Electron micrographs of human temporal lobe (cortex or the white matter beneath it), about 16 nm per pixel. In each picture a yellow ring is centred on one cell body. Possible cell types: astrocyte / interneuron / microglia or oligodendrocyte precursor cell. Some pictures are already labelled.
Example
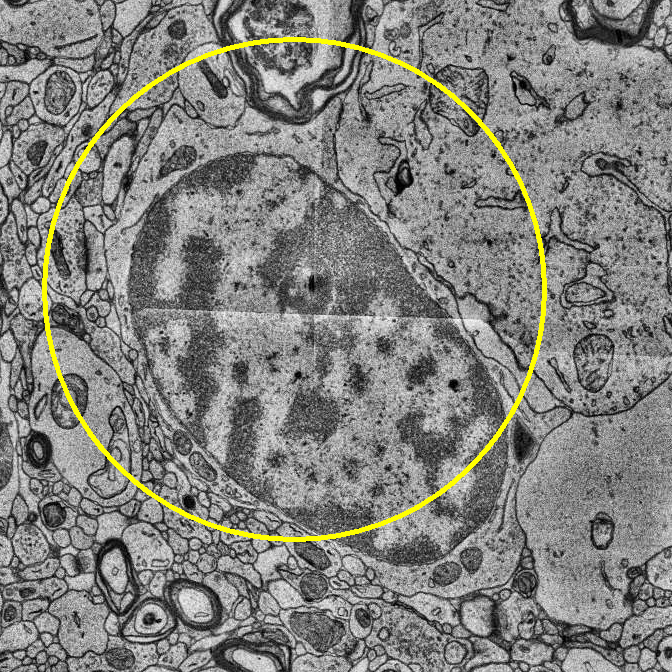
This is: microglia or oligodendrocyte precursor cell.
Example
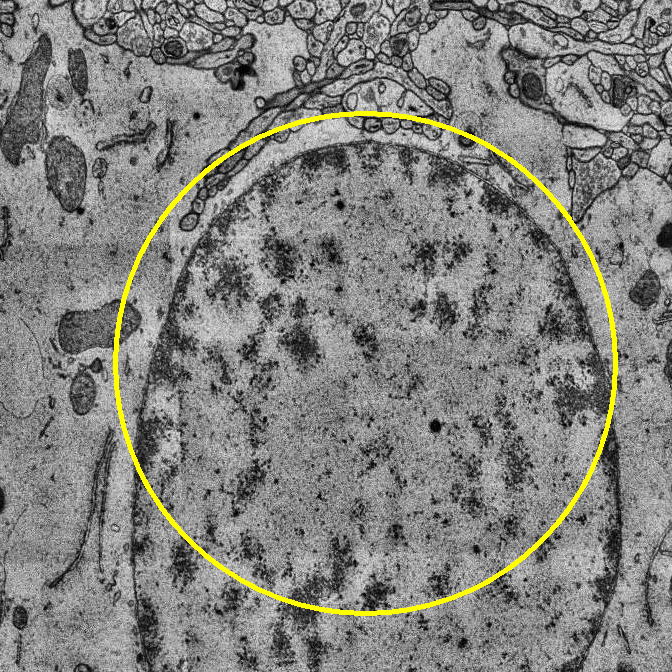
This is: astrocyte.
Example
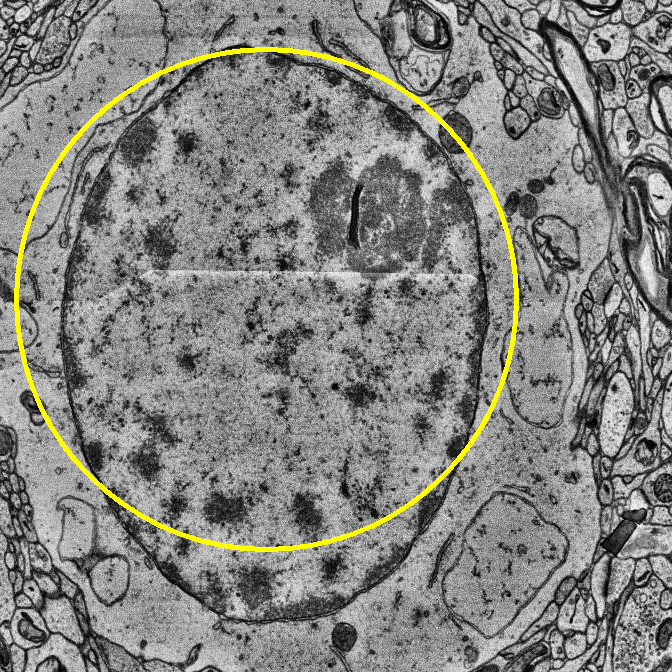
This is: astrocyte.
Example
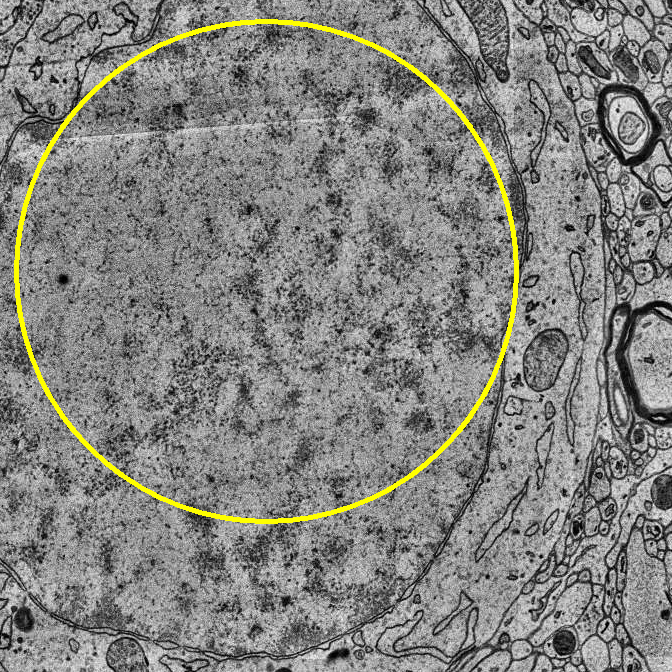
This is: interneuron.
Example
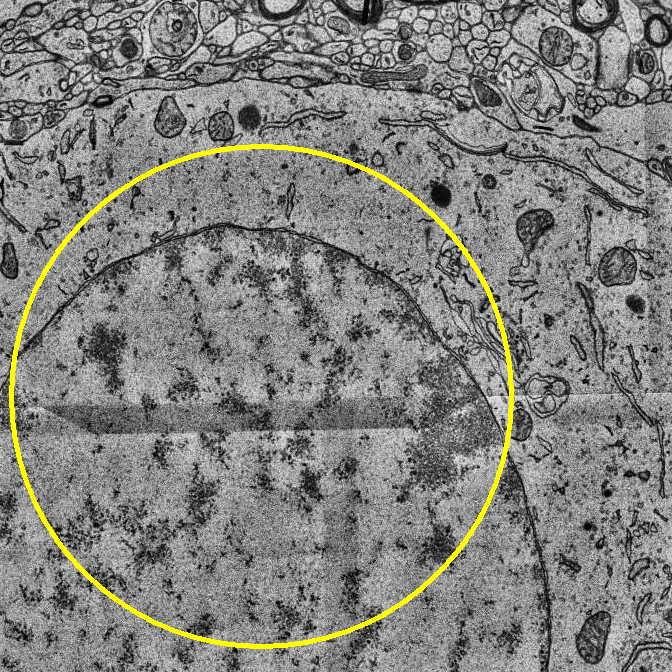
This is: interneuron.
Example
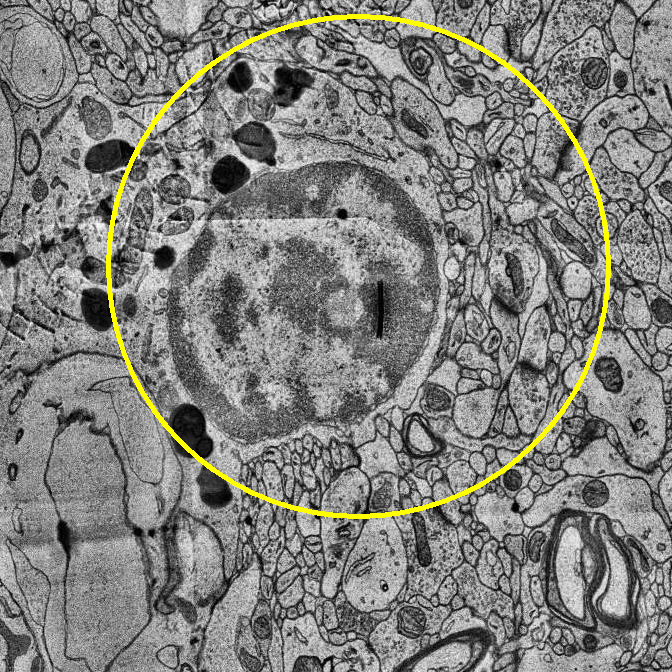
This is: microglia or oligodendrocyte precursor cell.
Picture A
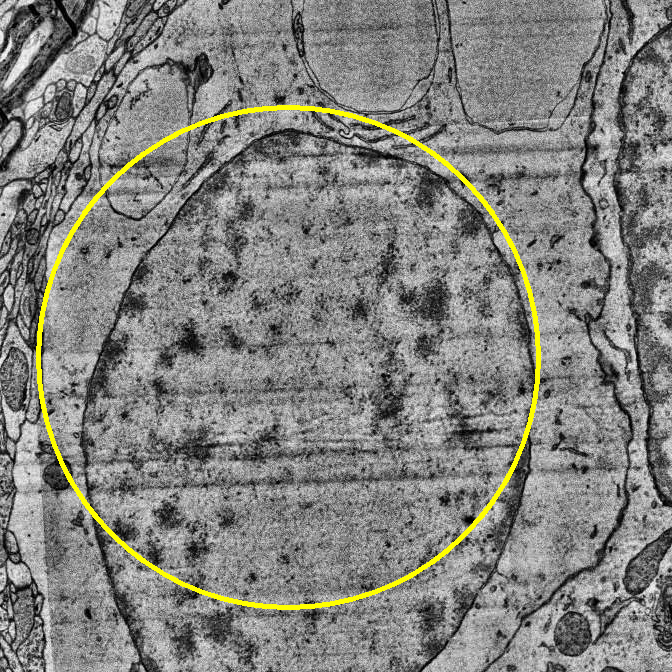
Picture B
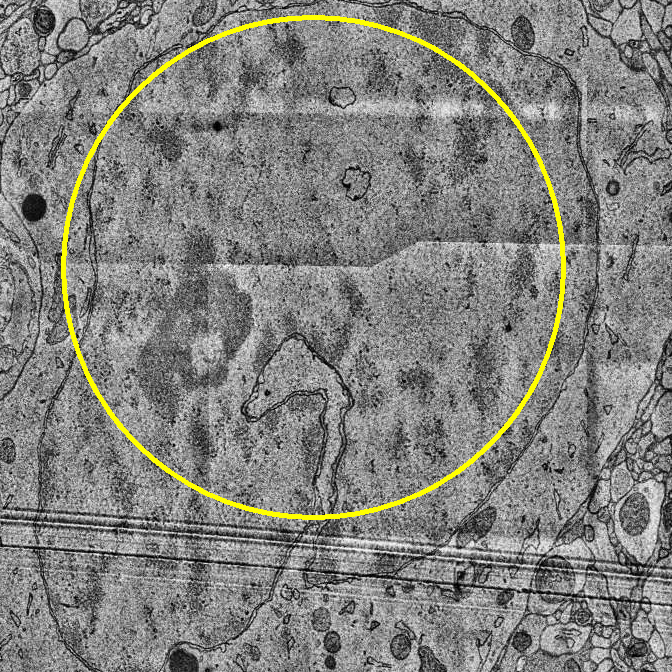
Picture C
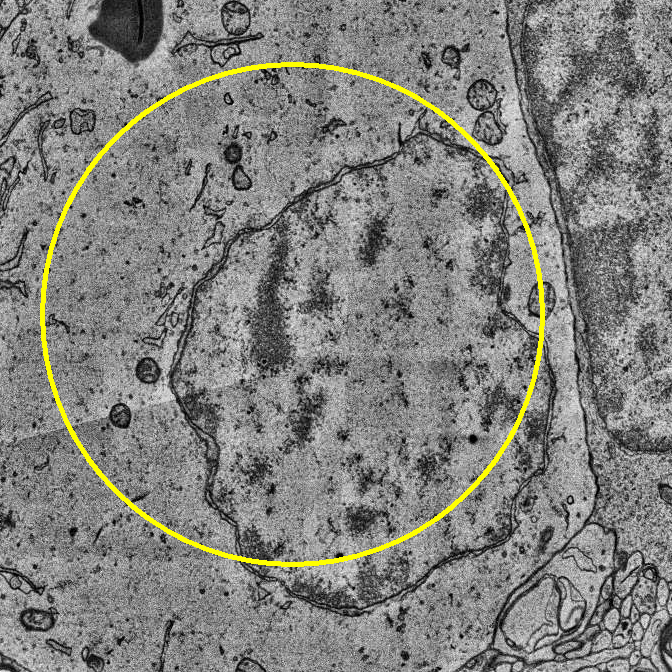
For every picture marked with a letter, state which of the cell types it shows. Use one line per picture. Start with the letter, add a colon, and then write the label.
A: astrocyte.
B: interneuron.
C: interneuron.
